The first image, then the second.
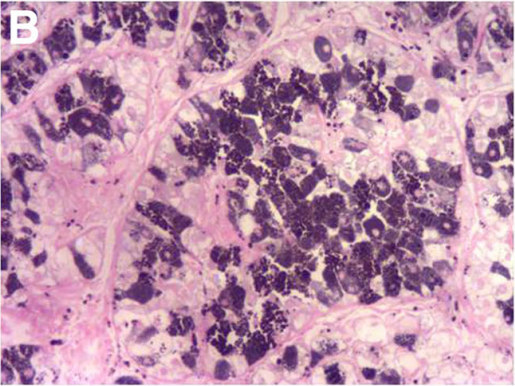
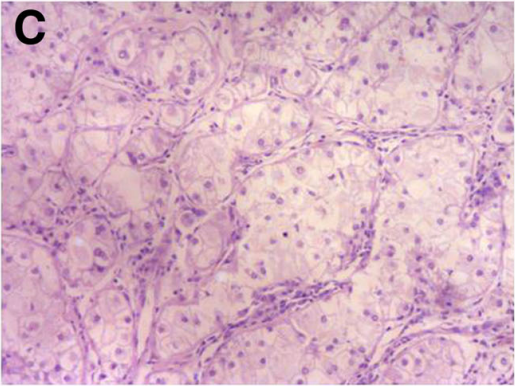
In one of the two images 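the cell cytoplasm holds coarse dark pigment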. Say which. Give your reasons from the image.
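Second image: the cells have pale, clear cytoplasm without dark granules. First image: many cells are packed with coarse black granules. That points to this answer: the first image.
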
